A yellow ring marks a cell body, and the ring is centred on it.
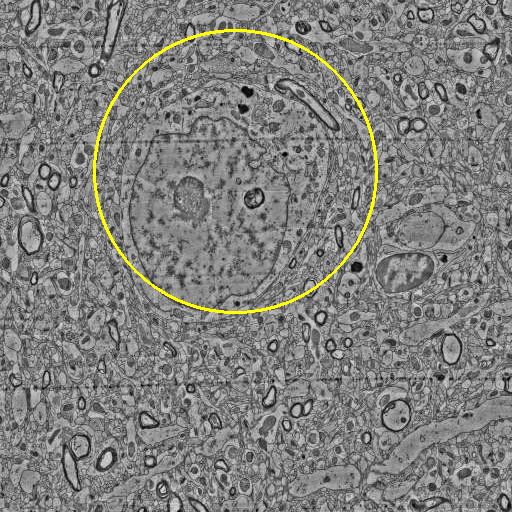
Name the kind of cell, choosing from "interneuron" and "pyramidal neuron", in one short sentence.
The marked cell body belongs to a pyramidal neuron.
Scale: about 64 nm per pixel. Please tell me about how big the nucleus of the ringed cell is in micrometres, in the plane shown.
About 12 by 10 micrometers, in this plane.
